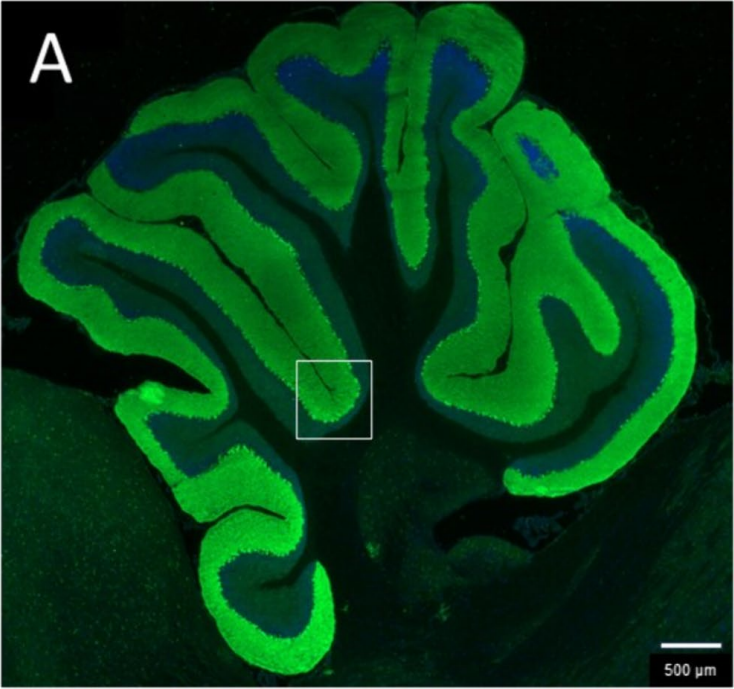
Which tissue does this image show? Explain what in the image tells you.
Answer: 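Many folded leaf-like lobules arranged around a central branching core. Each fold has an outer stained layer and an inner blue layer around a dark central white matter.
Conclusion: cerebellum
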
